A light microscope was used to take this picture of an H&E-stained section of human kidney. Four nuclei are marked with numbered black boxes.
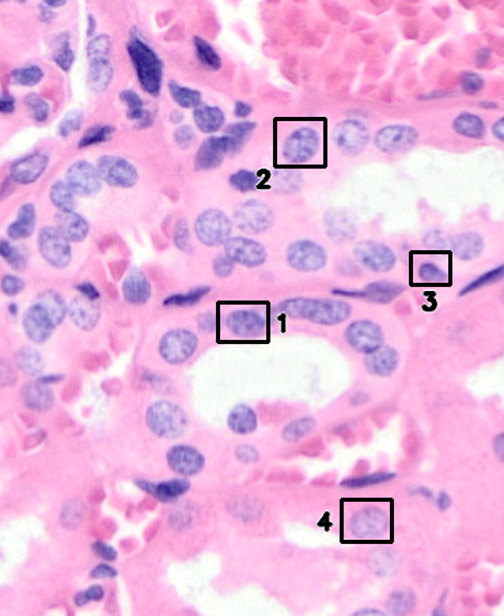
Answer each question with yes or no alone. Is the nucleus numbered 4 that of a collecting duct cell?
no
